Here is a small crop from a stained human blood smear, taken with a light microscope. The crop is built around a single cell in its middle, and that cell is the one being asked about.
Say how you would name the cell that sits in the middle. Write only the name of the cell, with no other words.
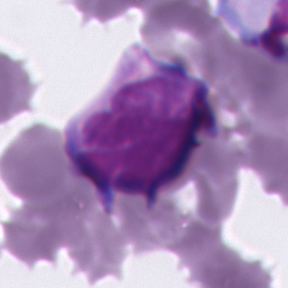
myeloblast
